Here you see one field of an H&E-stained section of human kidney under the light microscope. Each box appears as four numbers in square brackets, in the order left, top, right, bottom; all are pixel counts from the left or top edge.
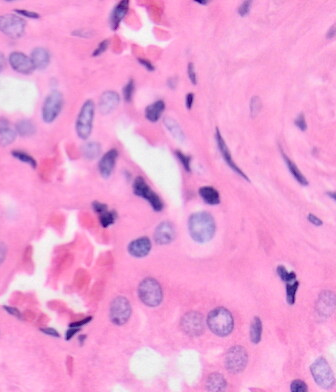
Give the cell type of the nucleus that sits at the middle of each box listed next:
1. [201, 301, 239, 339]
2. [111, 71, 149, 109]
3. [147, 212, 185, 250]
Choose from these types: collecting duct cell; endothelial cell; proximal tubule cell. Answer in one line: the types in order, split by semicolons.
proximal tubule cell; collecting duct cell; collecting duct cell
